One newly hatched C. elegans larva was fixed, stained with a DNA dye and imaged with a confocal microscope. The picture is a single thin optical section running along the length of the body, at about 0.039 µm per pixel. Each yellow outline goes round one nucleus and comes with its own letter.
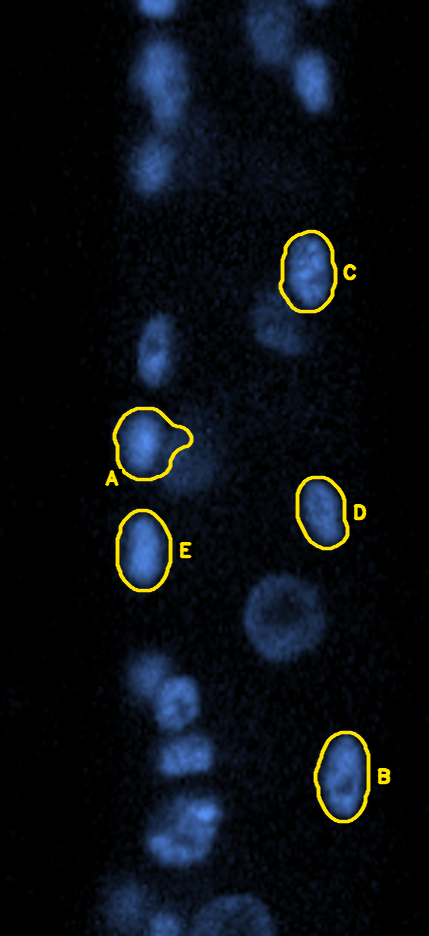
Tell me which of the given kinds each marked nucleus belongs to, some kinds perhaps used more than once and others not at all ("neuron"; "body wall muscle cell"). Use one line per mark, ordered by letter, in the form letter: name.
A: neuron
B: body wall muscle cell
C: body wall muscle cell
D: body wall muscle cell
E: neuron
